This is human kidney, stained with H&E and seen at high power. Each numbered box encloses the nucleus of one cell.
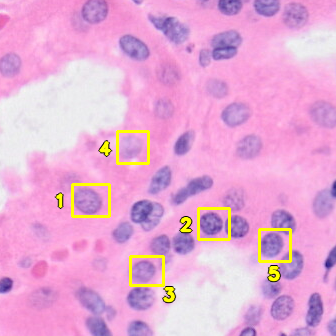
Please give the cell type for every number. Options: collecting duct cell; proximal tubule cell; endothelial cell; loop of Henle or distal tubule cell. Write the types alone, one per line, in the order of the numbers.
proximal tubule cell
collecting duct cell
collecting duct cell
proximal tubule cell
collecting duct cell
